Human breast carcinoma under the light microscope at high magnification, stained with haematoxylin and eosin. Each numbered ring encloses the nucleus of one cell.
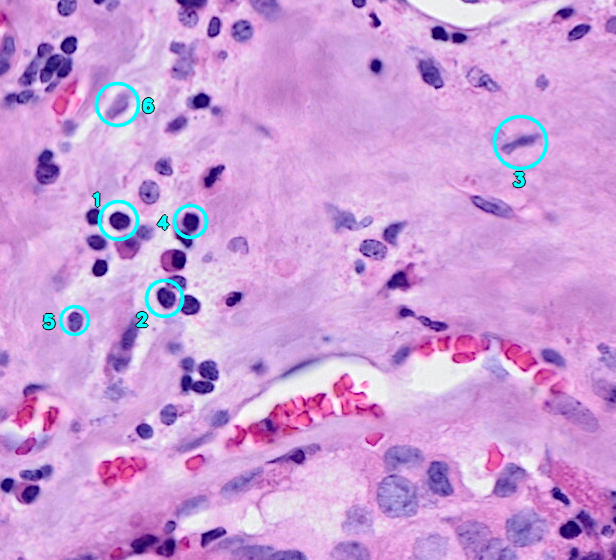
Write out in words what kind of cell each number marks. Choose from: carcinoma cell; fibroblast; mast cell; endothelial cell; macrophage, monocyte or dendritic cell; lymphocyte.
Cell 1 is a lymphocyte, cell 2 is a lymphocyte, cell 3 is a fibroblast, cell 4 is a lymphocyte, cell 5 is a lymphocyte and cell 6 is a fibroblast.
